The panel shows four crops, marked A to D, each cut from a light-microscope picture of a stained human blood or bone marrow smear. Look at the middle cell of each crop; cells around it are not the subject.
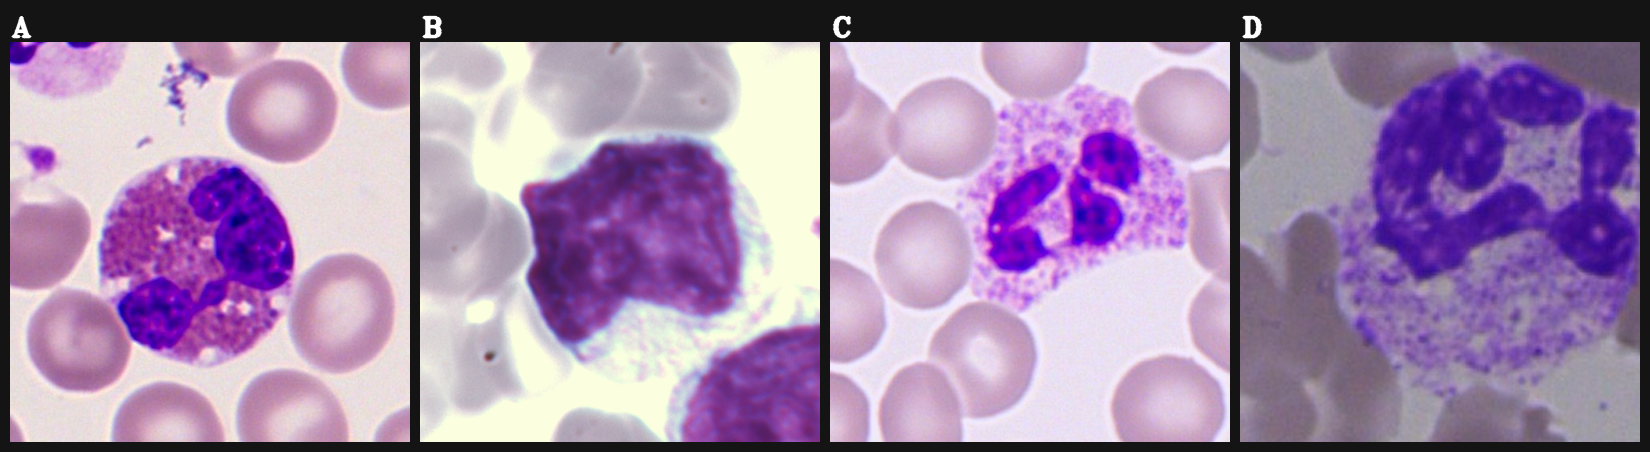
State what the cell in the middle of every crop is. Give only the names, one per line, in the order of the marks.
eosinophil
band neutrophil
segmented neutrophil
segmented neutrophil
